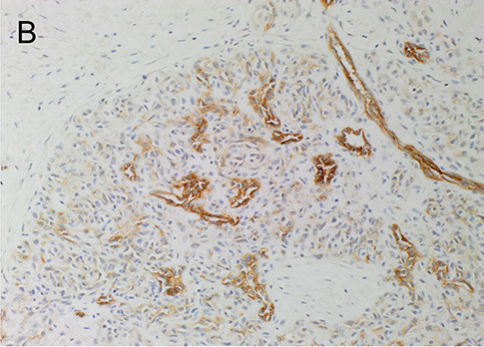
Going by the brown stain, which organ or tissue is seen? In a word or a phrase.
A: endothelium of the microvessels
